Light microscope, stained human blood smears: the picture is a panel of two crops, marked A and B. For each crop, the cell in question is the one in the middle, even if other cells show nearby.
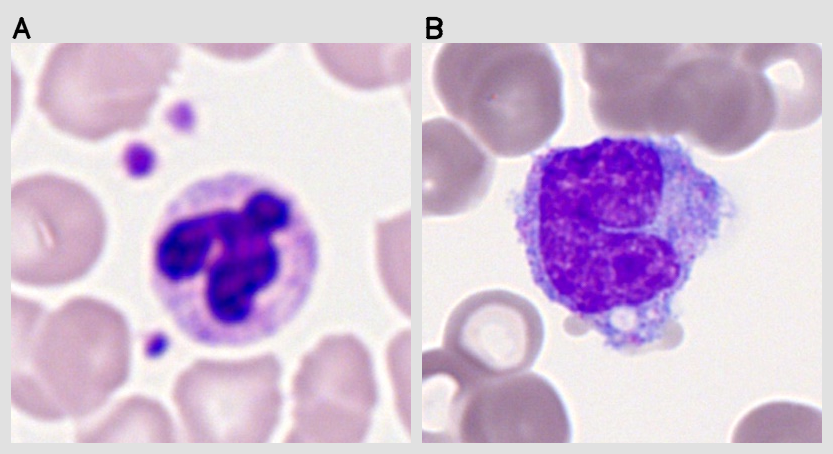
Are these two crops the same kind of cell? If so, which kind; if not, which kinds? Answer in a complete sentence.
No, crop A shows a segmented neutrophil, and crop B, by contrast, shows a monocyte.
